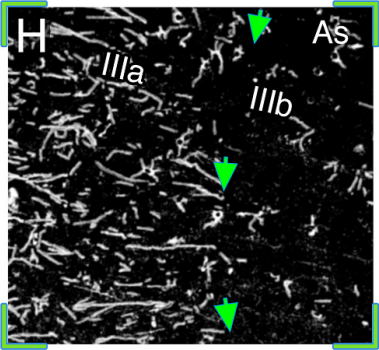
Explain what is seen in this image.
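In the left part of the field the processes are crowded and long. Towards the right they end rather abruptly, leaving only sparse short fragments, so that a clear boundary in process density crosses the field from top to bottom. This boundary is marked by the arrowheads. No cell bodies are clearly made out; the image is dominated by the processes.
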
